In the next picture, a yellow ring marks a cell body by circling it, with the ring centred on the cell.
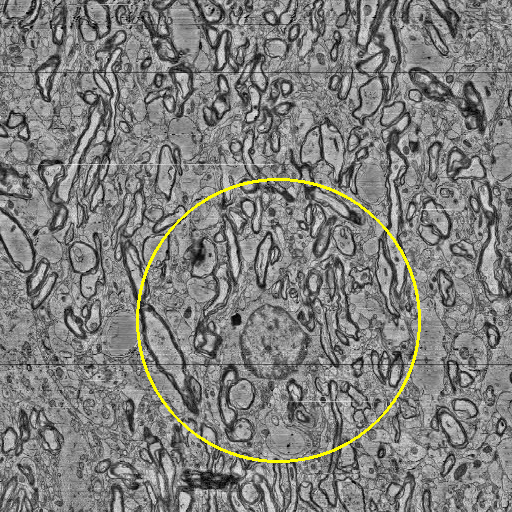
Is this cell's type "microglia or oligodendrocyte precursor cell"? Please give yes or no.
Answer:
no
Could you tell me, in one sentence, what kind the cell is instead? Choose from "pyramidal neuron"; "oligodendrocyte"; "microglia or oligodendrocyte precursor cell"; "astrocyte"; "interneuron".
The cell enclosed by the ring is an oligodendrocyte.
